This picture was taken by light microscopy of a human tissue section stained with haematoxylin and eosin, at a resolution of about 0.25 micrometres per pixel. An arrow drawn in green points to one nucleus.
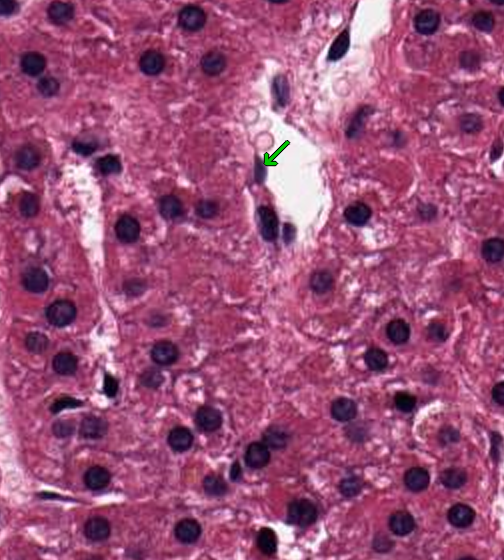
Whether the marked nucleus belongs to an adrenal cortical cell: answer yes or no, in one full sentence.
No, it is not an adrenal cortical cell but a supporting cell to which the marked nucleus is assigned.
